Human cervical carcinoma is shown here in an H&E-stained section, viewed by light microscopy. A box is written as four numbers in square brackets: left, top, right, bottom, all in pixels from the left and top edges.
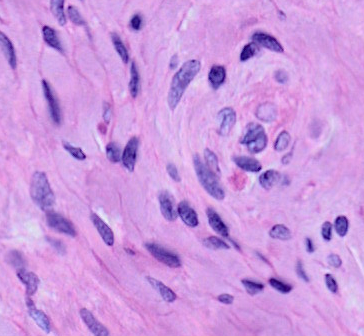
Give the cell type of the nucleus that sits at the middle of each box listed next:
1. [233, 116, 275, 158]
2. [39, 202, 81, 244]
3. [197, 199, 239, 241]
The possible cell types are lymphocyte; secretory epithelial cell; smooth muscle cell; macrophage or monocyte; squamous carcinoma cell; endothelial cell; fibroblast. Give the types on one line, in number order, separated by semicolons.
endothelial cell; fibroblast; fibroblast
